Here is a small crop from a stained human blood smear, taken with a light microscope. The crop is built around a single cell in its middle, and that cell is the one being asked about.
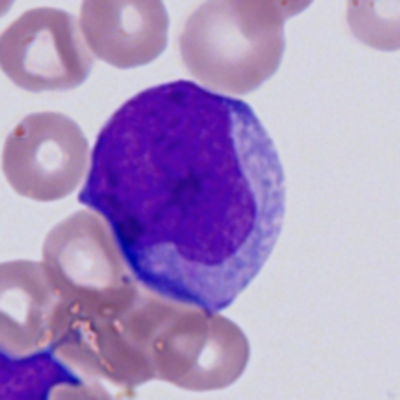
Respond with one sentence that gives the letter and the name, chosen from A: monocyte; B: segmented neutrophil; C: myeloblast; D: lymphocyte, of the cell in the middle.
Identification: the cell in the middle is a myeloblast, matching option C.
